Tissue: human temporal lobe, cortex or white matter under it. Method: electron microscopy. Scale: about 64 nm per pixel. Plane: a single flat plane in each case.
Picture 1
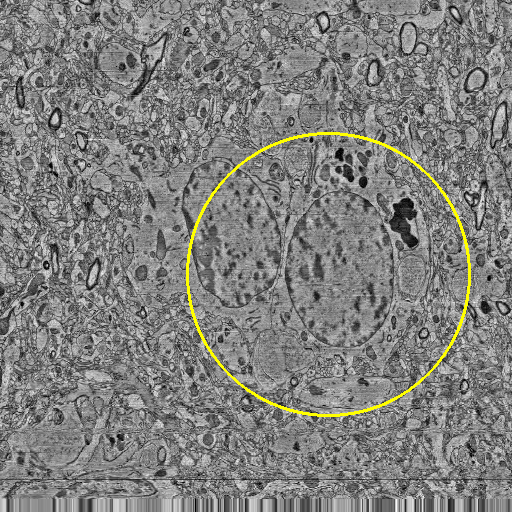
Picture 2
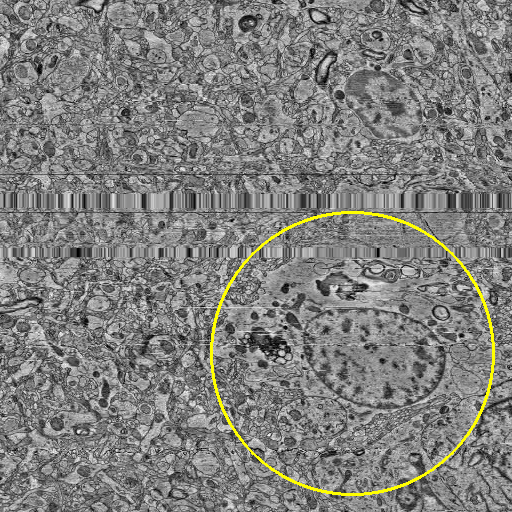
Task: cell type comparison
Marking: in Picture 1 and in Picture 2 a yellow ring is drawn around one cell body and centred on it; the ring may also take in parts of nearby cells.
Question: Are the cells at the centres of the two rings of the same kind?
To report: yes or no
yes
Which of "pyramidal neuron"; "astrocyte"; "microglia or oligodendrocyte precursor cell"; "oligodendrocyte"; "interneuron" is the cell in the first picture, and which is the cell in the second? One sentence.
In both pictures the ring is centred on an astrocyte.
